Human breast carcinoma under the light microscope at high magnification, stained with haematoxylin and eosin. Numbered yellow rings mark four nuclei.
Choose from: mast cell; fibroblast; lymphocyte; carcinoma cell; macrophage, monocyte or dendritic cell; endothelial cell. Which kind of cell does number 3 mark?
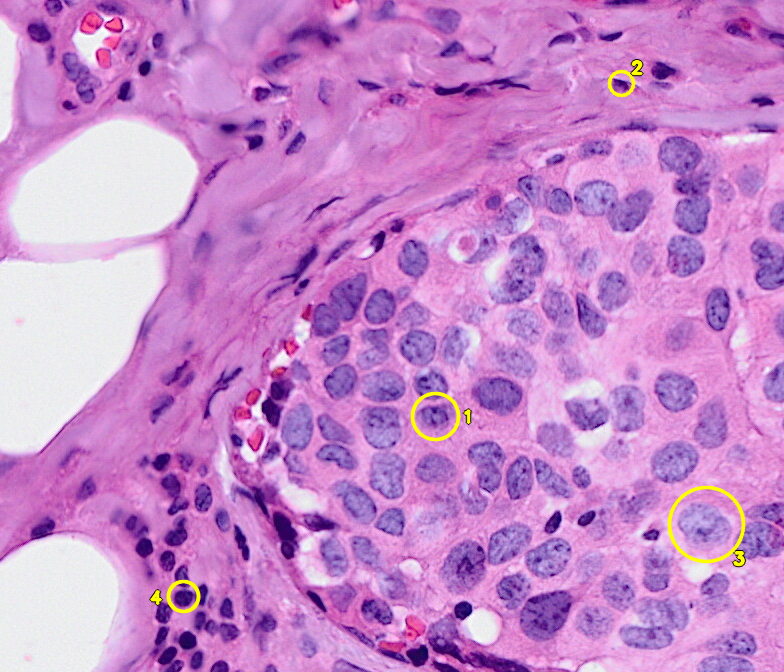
carcinoma cell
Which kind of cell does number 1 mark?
carcinoma cell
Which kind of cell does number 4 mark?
lymphocyte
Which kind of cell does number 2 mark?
fibroblast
